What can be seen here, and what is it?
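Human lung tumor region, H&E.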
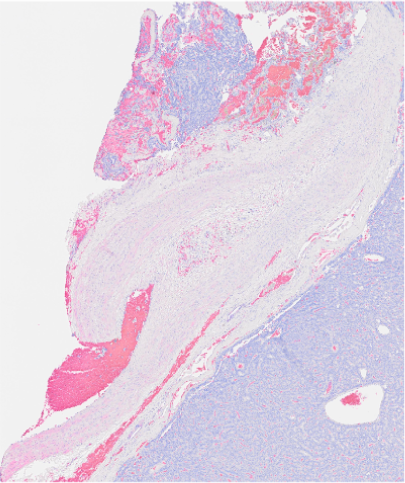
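A broad, pale pink band of fibrous tissue runs diagonally across the field from lower left to upper right. On either side of it lie densely cellular areas that stain purple-blue, where individual cells are too small to resolve at this scale. Along the upper edge and in a streak beside the band are patches of bright red to pink material. A dense pink homogeneous mass sits at the lower left. Toward the lower right, a small rounded empty lumen contains a little red material.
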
